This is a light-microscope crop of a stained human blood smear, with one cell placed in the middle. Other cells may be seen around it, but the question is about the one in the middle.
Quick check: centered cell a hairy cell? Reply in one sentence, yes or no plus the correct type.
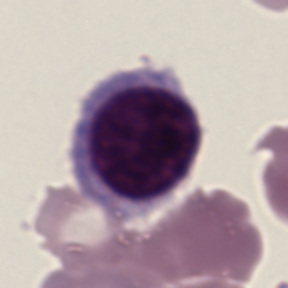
Yes, the cell in the middle is a hairy cell.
